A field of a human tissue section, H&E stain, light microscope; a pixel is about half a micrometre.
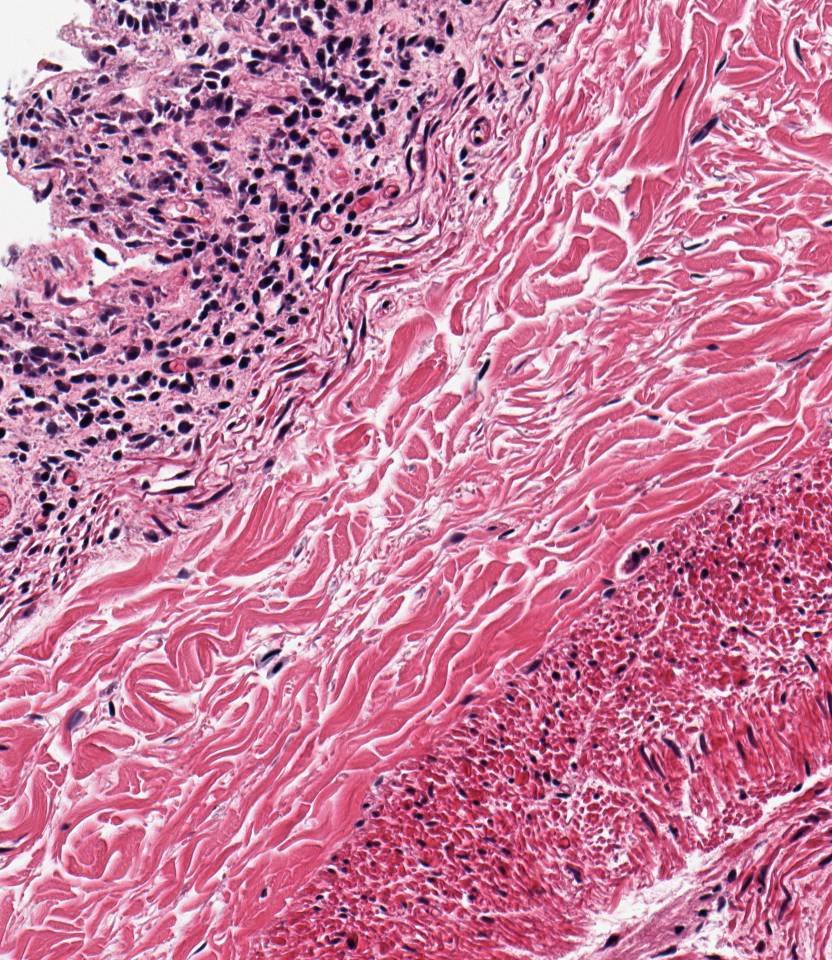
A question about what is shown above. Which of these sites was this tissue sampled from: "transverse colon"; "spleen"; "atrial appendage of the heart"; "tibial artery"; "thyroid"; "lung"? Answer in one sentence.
The site this tissue was sampled from is the transverse colon.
